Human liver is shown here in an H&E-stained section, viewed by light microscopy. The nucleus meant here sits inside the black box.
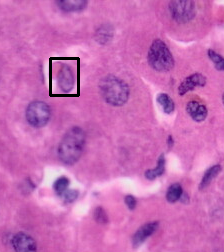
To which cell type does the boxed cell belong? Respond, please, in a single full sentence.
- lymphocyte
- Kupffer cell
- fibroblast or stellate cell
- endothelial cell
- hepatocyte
Typologically, the boxed cell is a Kupffer cell in this section.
